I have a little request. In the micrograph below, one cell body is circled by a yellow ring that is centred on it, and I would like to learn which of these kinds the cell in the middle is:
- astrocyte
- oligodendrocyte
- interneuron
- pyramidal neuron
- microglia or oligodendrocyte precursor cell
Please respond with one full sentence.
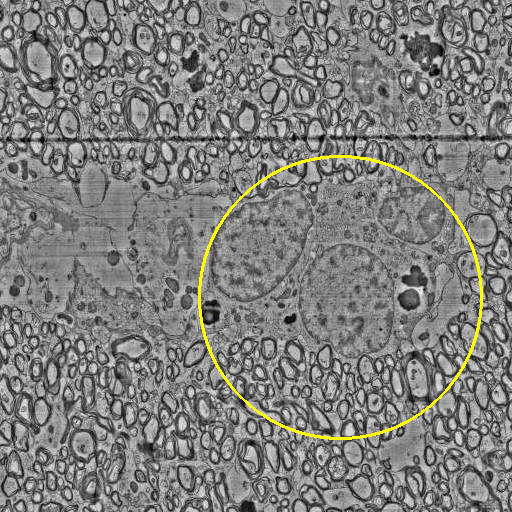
The cell sitting in the middle of the yellow ring in the micrograph is an oligodendrocyte.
